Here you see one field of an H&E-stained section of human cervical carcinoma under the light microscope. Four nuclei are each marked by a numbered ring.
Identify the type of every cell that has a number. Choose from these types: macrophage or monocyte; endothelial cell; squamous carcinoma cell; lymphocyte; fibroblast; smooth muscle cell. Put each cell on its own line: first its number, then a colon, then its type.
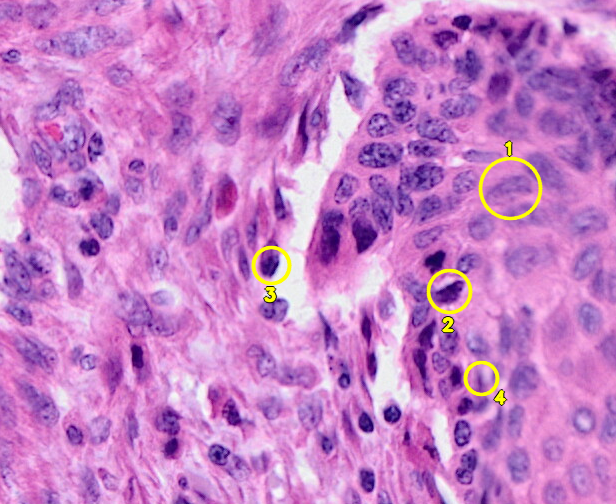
1: squamous carcinoma cell
2: squamous carcinoma cell
3: lymphocyte
4: squamous carcinoma cell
